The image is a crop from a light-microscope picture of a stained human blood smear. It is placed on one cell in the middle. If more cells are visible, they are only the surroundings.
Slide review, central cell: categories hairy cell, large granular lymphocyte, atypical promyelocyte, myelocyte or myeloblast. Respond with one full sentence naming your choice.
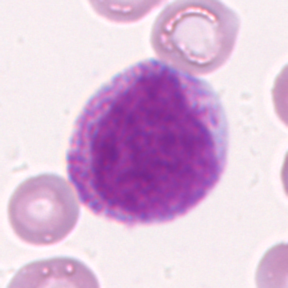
The crop centres on a single cell, and that cell is a myelocyte.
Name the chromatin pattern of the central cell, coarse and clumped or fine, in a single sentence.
The chromatin is fine; coarse clumps are not a feature here.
